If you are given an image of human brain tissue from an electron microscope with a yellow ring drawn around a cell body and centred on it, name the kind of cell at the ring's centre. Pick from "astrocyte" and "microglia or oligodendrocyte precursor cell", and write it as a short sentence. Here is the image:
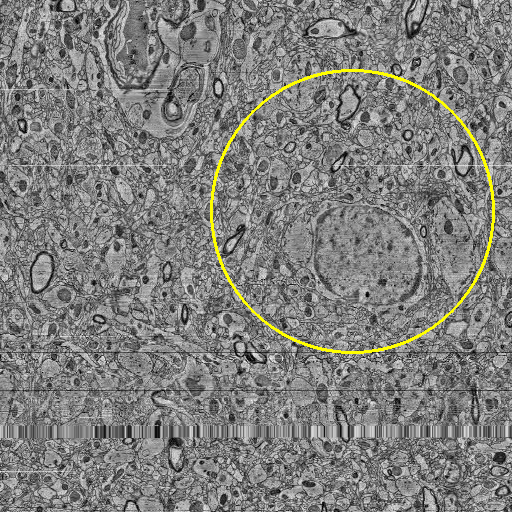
The cell at the ring's centre is a microglial cell or oligodendrocyte precursor cell.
